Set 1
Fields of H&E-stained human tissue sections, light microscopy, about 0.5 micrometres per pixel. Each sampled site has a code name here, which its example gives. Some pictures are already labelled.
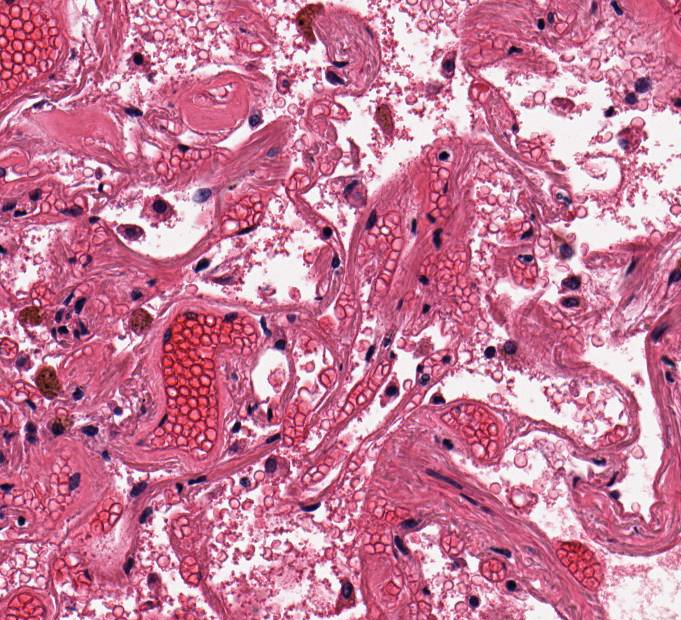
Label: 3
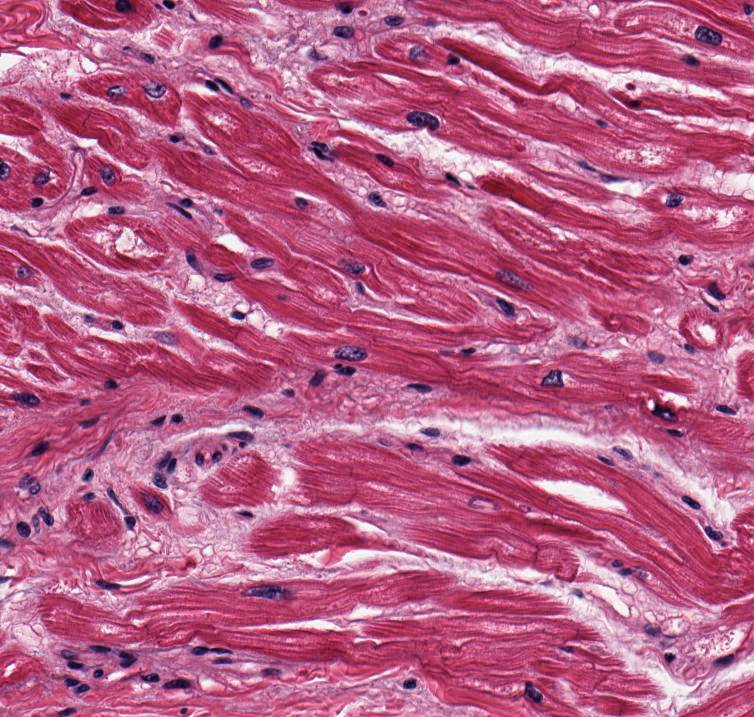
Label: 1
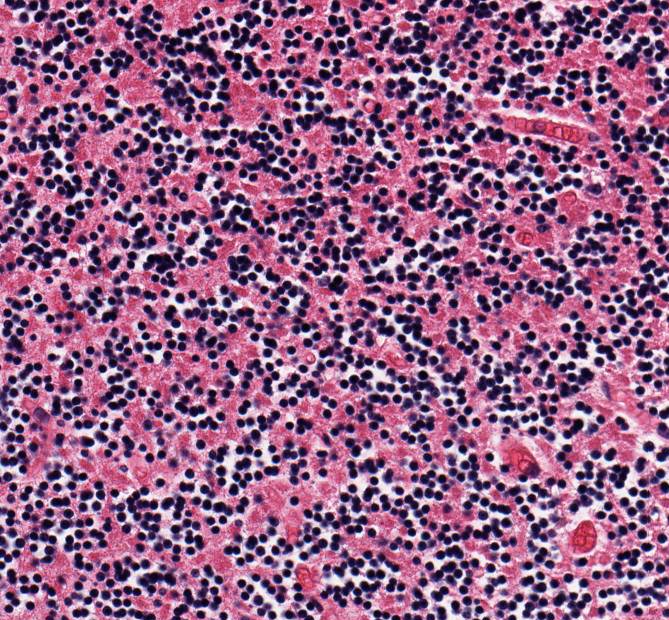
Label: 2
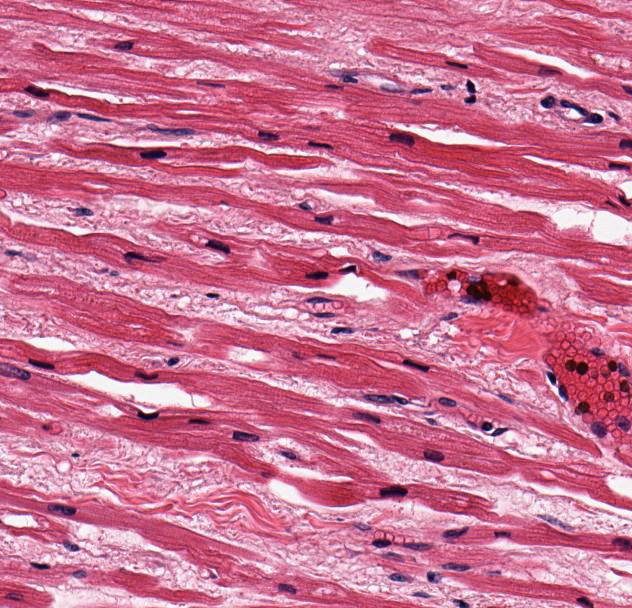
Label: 1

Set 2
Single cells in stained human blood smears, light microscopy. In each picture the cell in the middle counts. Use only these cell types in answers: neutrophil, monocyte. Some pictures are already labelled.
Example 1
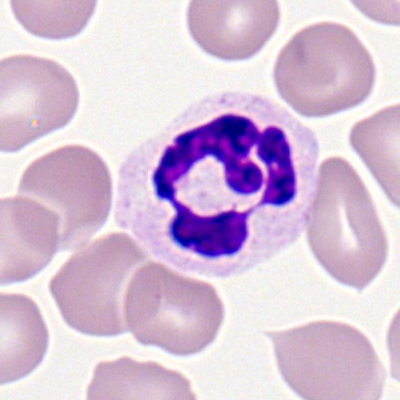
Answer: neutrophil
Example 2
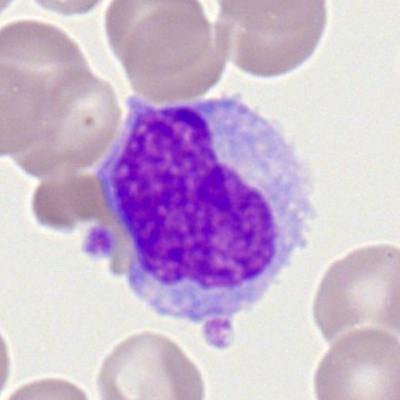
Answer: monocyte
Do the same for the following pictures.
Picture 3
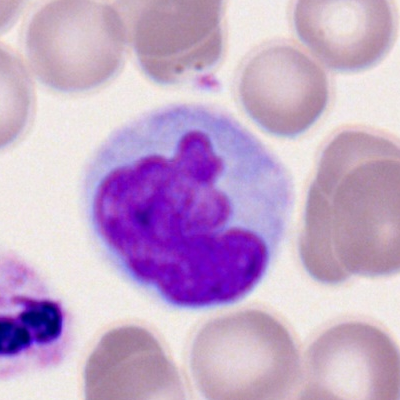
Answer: monocyte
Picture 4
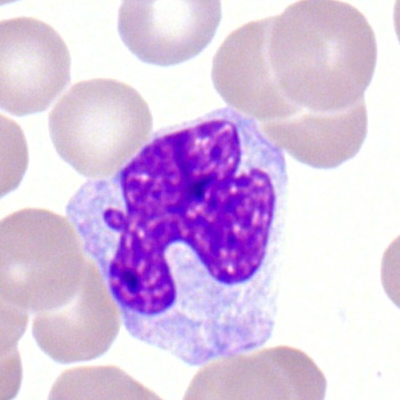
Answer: monocyte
